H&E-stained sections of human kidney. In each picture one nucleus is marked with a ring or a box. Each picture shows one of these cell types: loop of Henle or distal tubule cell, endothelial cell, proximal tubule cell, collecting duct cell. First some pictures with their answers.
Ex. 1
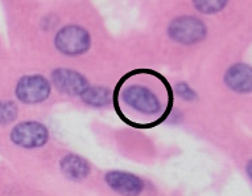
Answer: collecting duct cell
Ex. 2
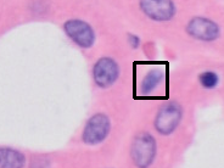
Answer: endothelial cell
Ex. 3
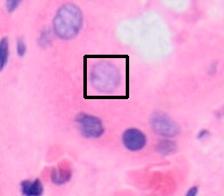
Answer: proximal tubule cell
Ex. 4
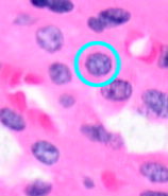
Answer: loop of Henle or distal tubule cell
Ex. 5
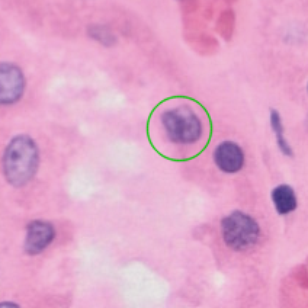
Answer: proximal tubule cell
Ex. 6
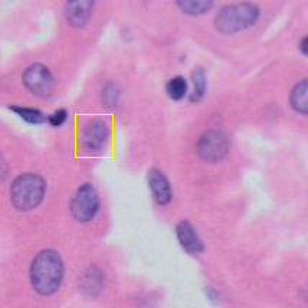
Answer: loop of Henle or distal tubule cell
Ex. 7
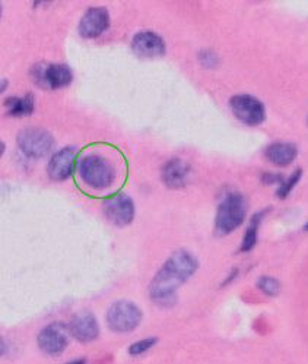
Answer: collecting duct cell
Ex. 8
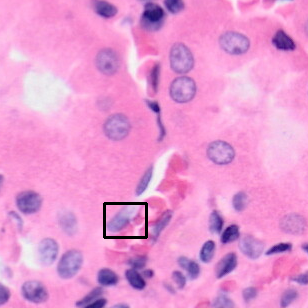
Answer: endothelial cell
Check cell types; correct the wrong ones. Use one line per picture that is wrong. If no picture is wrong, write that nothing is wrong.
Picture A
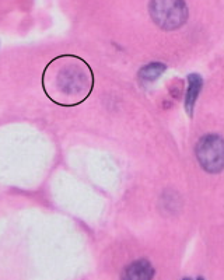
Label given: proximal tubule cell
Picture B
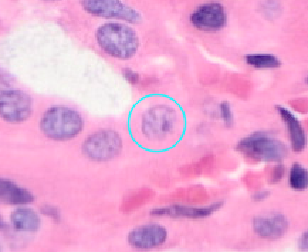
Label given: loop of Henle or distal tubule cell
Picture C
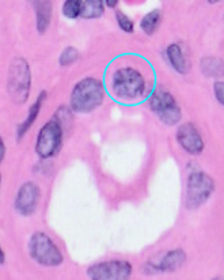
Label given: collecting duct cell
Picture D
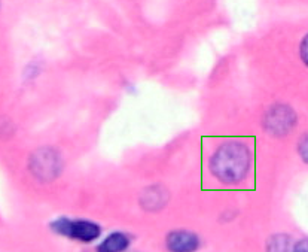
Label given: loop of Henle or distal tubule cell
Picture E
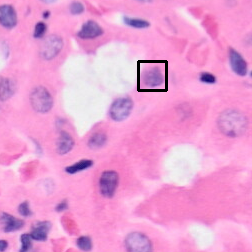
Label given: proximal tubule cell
D is labelled loop of Henle or distal tubule cell; correct label: proximal tubule cell
E is labelled proximal tubule cell; correct label: loop of Henle or distal tubule cell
